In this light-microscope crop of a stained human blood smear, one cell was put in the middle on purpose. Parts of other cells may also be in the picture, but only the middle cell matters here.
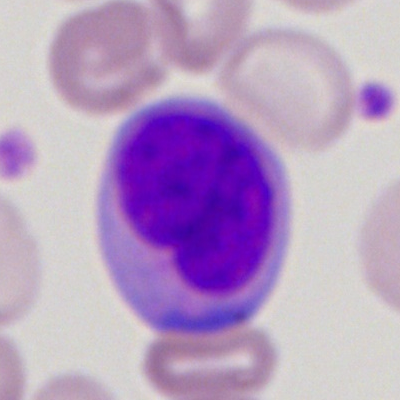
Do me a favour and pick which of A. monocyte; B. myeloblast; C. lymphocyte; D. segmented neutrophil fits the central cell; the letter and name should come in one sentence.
The cell at the centre is a myeloblast, and option B accordingly is correct.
